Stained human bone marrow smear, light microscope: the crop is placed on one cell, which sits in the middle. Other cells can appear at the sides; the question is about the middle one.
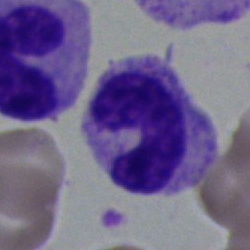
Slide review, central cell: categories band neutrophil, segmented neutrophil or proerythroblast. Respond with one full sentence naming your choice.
The identification for the central cell is a band neutrophil.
